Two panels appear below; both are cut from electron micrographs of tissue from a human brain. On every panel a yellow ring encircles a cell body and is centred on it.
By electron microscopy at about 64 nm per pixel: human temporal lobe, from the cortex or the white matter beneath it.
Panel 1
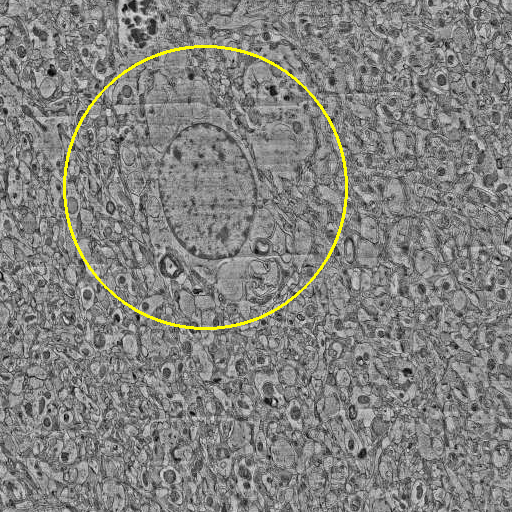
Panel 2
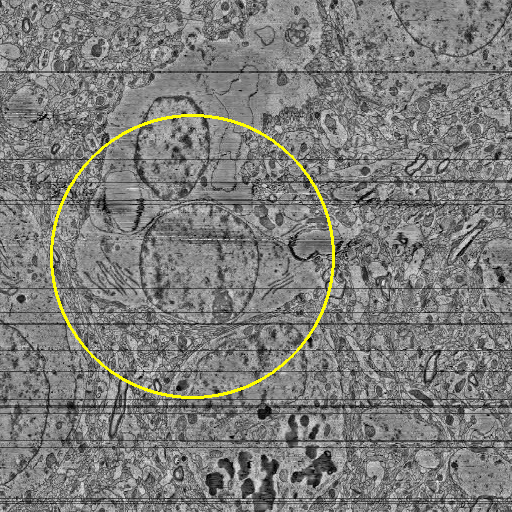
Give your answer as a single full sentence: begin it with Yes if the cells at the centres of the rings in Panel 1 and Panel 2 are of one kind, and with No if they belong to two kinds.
Yes, the cells in the middle of the rings in Panels 1 and 2 are of one kind.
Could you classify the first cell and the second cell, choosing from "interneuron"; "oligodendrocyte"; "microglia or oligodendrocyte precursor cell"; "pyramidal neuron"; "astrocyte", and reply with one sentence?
Each of the two pictures has an astrocyte at the ring centre.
